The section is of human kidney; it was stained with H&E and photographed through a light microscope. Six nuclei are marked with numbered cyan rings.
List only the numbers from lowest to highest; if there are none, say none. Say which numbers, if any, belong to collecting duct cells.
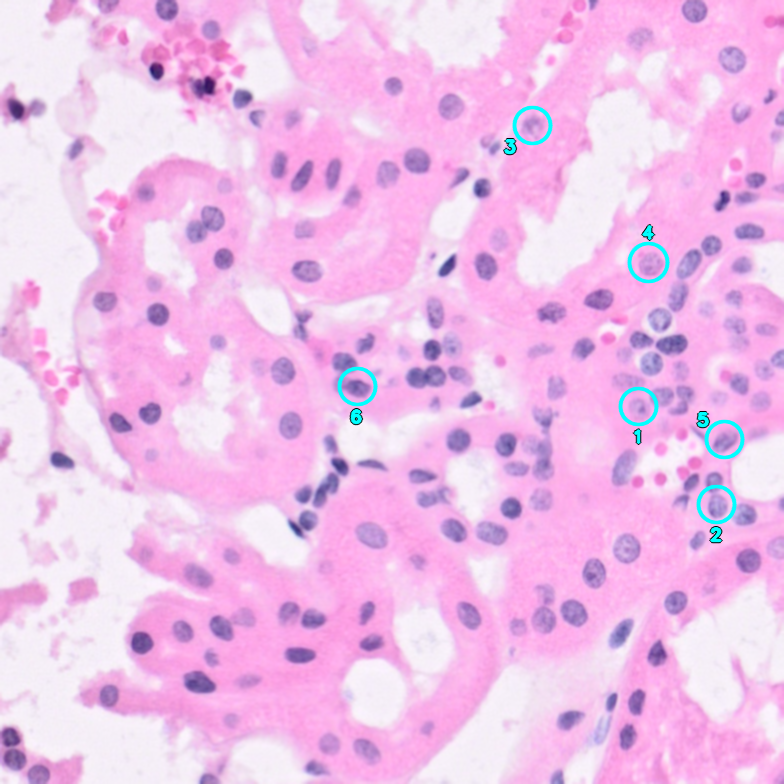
1, 2, 5, 6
